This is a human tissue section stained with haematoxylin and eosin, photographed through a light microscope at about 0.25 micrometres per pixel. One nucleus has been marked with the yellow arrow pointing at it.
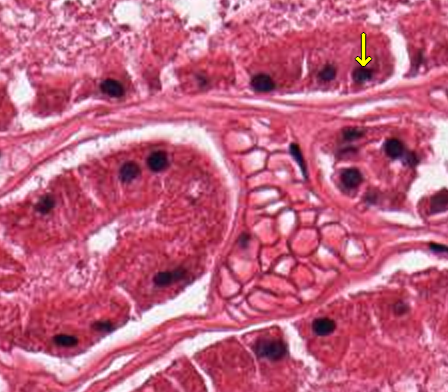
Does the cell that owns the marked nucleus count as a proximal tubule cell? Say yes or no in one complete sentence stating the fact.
Yes, what is marked here is the nucleus of a proximal tubule cell.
